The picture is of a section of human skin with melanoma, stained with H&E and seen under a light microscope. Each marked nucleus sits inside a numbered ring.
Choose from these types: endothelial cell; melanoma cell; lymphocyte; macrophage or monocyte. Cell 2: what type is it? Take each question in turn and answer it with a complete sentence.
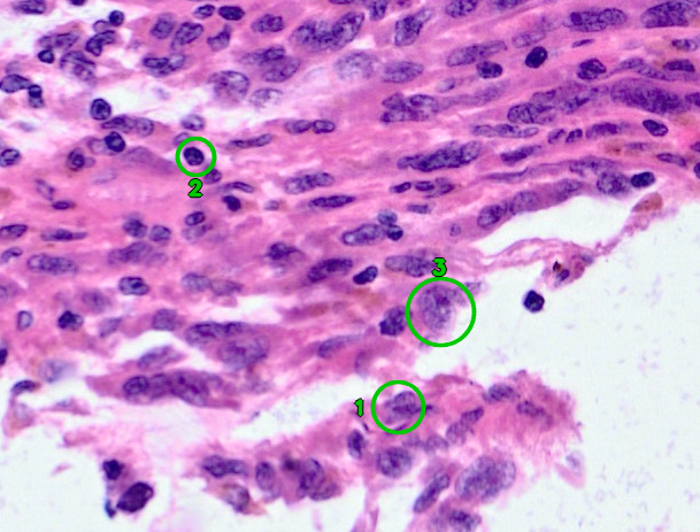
Number 2 among the marked cells is a lymphocyte.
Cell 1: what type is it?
The cell tagged with 1 in this tissue section is a melanoma cell.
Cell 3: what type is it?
The cell carrying label 3 is identified as a melanoma cell.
